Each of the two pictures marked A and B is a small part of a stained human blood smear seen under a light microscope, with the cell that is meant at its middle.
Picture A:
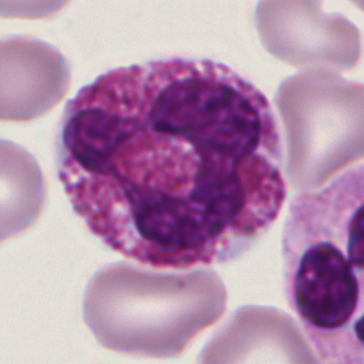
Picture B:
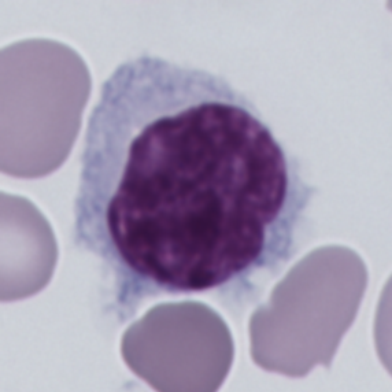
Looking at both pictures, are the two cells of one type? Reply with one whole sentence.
No, the types are not the same, since picture A shows an eosinophil and picture B a hairy cell.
